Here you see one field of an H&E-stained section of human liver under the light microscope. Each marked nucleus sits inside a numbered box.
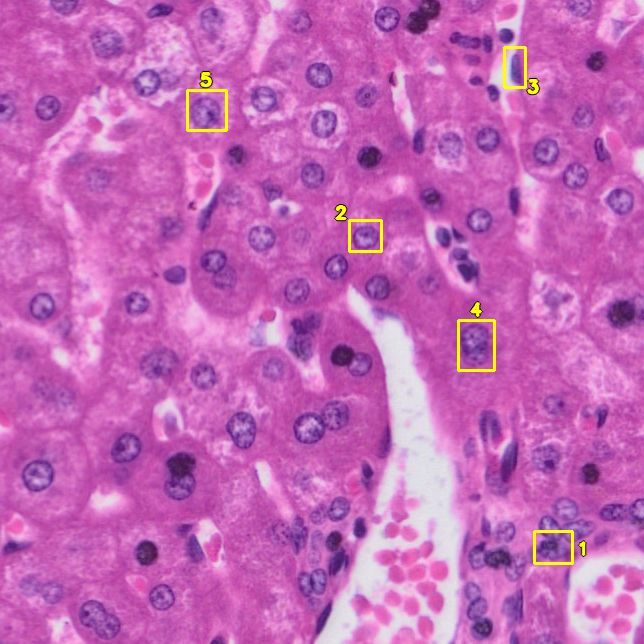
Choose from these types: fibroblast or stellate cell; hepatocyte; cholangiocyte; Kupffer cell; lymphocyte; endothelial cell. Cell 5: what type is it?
hepatocyte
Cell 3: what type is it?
endothelial cell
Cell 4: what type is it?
hepatocyte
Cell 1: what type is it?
cholangiocyte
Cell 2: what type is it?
hepatocyte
